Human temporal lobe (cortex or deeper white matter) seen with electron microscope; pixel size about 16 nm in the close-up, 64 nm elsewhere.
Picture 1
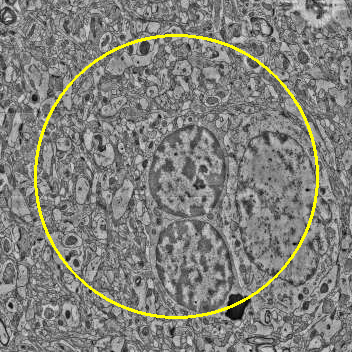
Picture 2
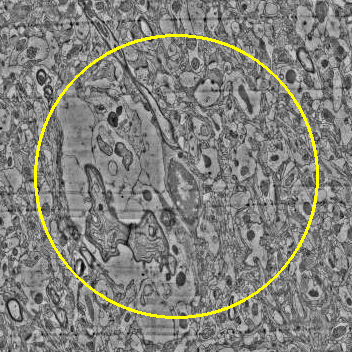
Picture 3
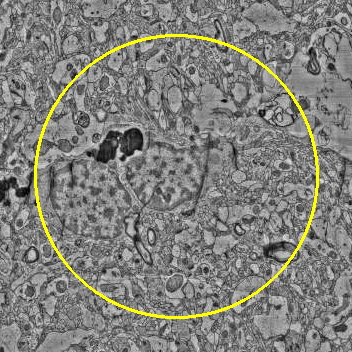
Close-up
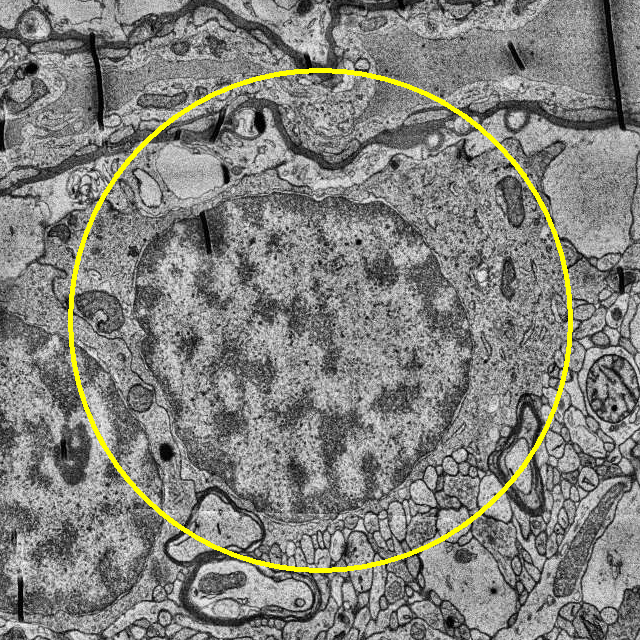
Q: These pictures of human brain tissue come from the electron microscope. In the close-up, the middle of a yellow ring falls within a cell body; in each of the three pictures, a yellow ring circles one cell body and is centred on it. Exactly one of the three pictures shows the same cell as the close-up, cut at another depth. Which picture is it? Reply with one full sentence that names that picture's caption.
The close-up represents the cell enclosed by the ring in Picture 3.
